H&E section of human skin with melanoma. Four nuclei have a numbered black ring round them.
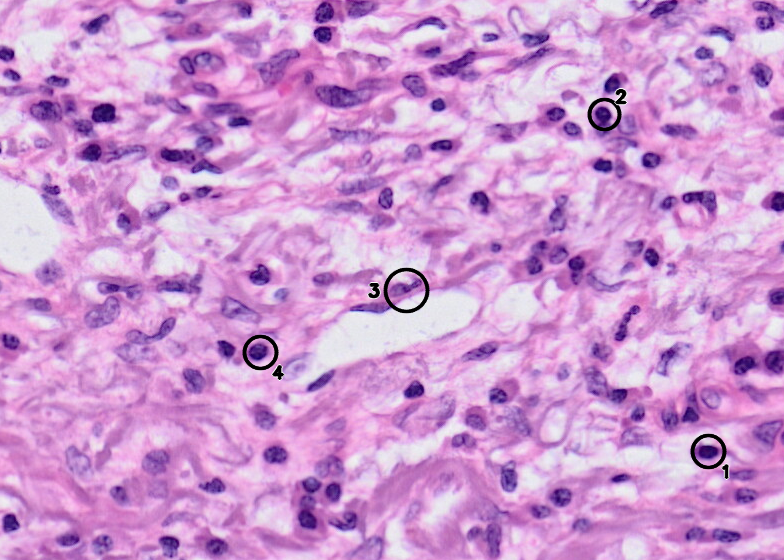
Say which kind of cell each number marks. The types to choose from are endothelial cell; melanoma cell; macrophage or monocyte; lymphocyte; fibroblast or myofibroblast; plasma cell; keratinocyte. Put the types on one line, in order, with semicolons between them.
plasma cell; plasma cell; fibroblast or myofibroblast; plasma cell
